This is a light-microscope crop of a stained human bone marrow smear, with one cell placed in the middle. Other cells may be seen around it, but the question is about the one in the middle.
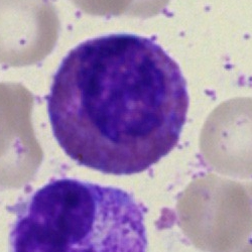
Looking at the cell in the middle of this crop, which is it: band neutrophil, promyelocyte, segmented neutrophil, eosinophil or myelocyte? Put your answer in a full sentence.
In the crop, the cell of interest at the centre is an eosinophil.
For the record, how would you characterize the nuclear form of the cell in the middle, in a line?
Please observe that the nucleus consists of one compact round, oval or kidney-shaped mass.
